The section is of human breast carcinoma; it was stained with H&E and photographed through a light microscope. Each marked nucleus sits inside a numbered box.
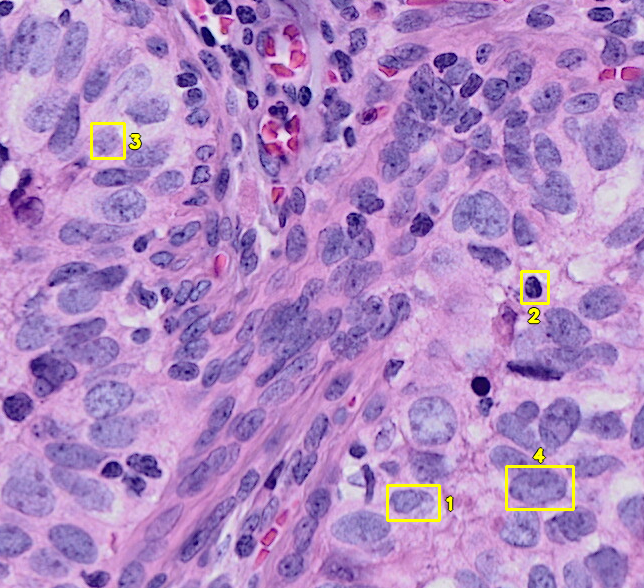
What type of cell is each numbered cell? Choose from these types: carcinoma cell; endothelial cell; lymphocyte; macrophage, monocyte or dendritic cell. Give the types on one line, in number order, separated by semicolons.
carcinoma cell; lymphocyte; carcinoma cell; carcinoma cell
